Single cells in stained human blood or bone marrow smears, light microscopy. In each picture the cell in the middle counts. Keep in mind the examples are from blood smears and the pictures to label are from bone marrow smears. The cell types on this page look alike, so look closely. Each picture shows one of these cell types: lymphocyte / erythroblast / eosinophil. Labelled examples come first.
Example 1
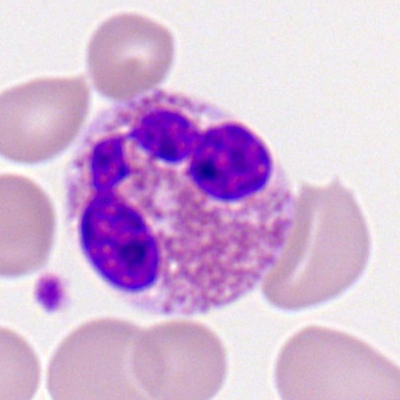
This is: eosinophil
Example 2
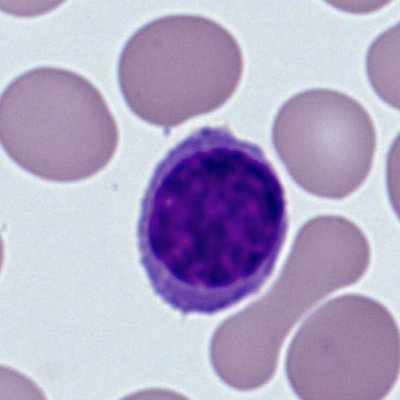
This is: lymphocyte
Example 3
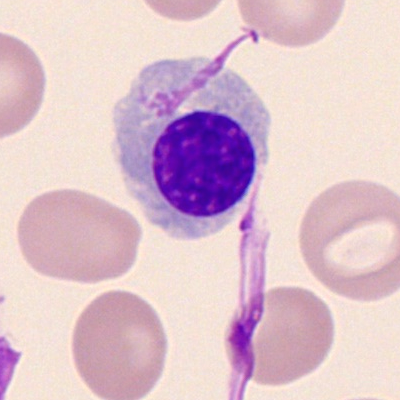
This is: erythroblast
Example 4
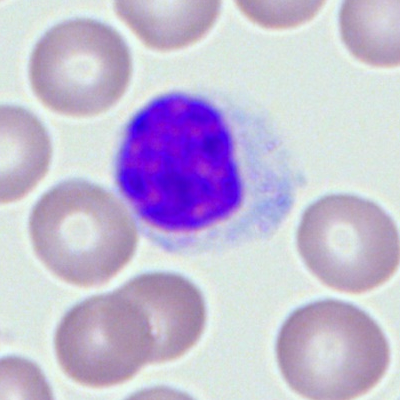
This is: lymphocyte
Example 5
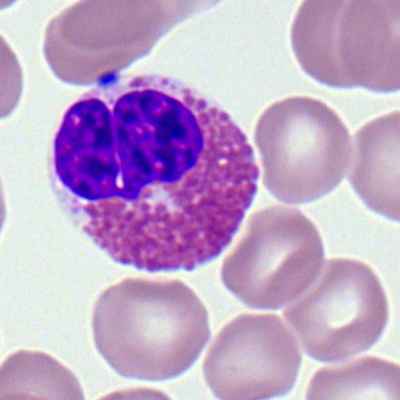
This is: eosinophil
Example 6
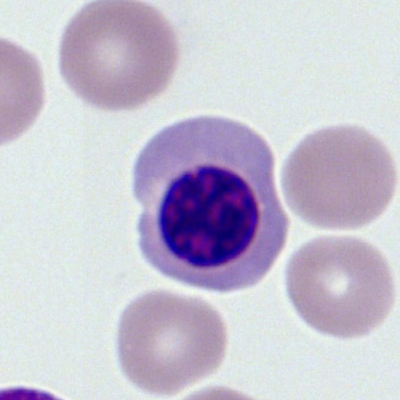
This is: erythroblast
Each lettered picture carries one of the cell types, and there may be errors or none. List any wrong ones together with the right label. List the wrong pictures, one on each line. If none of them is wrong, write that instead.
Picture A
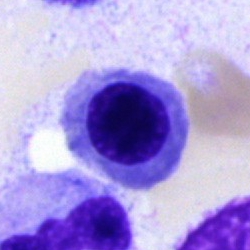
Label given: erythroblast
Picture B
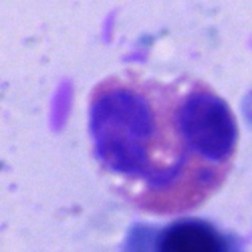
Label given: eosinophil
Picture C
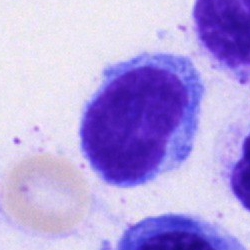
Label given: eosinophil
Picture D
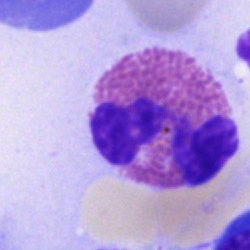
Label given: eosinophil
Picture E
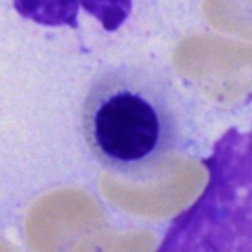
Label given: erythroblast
Wrong: C (eosinophil); correct: lymphocyte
